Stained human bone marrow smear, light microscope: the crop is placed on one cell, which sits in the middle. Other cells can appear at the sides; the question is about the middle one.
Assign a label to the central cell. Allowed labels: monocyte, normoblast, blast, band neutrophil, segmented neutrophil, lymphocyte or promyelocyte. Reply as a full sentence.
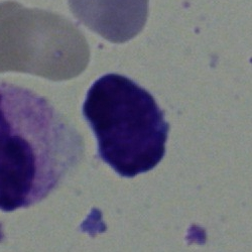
At the center of the crop sits a lymphocyte.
